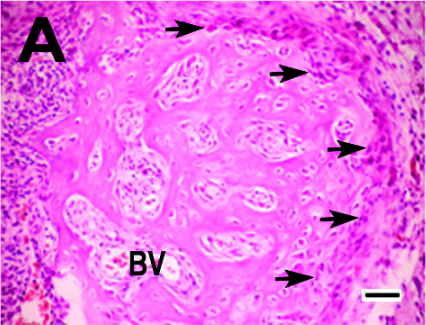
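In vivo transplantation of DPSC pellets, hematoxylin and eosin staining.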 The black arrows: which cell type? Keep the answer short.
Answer: Osteoblasts.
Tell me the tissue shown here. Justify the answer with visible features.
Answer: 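A large pink homogeneous matrix with scattered cells in small spaces. Vascular spaces enclosed within the matrix. That points to this answer: bone tissues.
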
